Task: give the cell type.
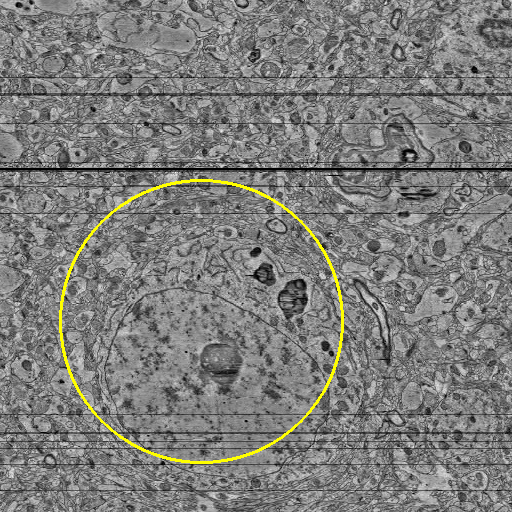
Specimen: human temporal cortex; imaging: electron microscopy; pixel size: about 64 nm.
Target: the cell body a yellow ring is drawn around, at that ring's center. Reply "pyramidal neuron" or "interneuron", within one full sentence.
In this picture, the cell whose body lies at the ring's center is a pyramidal neuron.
